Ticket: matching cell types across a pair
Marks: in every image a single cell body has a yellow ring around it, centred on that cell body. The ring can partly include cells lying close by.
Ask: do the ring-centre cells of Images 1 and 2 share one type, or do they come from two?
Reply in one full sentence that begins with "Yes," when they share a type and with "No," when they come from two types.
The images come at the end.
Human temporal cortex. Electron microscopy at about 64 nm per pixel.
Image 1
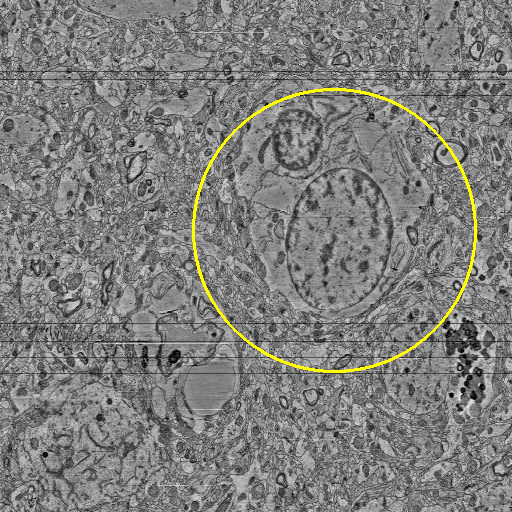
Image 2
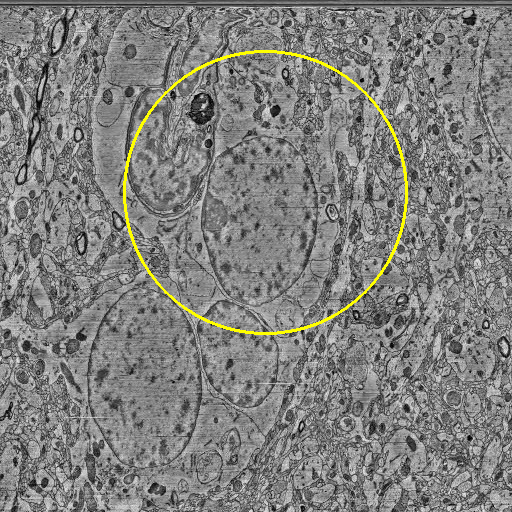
Yes, the cells in the centres of the rings in Image 1 and Image 2 share one type.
